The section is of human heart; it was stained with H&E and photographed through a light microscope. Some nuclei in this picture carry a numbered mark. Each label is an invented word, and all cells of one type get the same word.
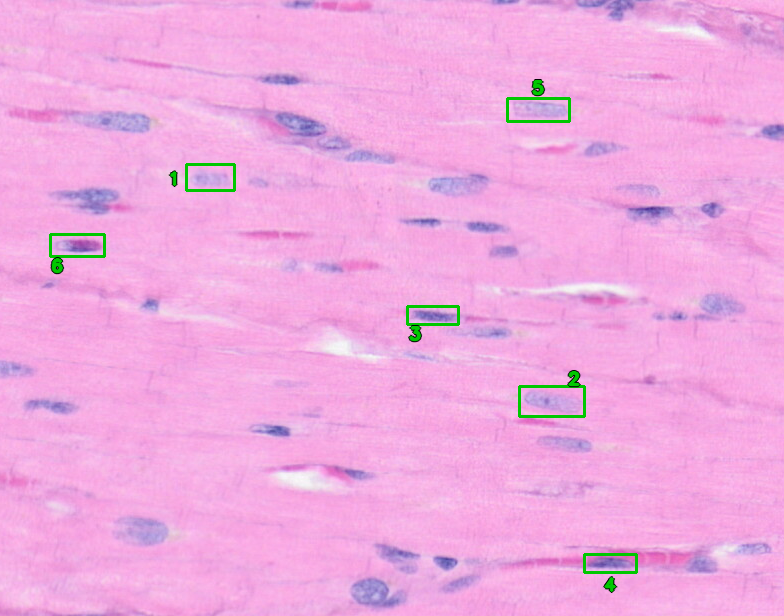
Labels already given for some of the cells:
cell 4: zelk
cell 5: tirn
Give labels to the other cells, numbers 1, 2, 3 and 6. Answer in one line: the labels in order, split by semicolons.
tirn; tirn; zelk; zelk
